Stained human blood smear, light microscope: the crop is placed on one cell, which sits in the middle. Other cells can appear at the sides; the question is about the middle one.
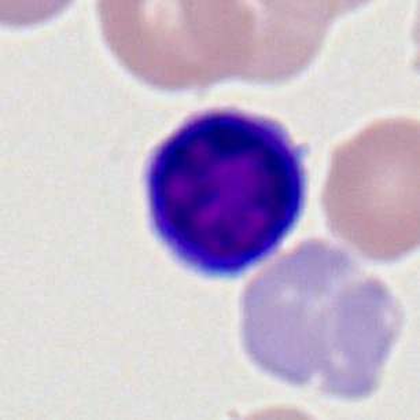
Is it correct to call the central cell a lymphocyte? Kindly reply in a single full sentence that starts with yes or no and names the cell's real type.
Yes, the cell shown centrally is a lymphocyte.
